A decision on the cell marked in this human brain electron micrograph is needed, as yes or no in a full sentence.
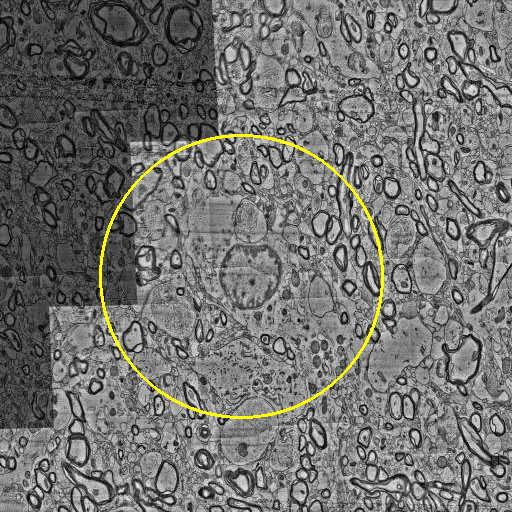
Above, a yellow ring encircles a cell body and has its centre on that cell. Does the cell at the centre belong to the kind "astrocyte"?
Yes, the kind given fits the cell at the centre of the ring in the picture.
